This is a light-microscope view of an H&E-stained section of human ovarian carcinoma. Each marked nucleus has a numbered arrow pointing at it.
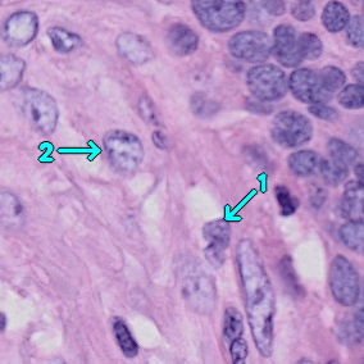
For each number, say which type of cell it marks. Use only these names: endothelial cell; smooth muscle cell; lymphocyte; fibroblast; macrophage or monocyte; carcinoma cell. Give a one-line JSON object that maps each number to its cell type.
{"1": "macrophage or monocyte", "2": "fibroblast"}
